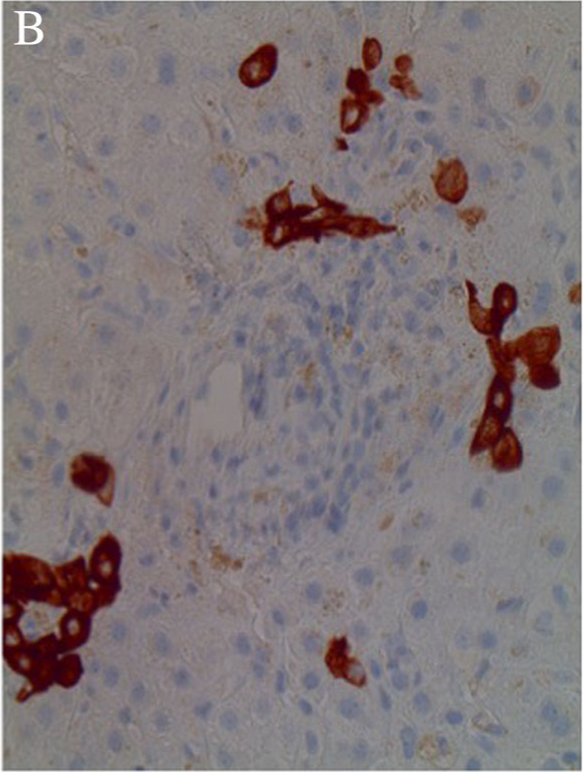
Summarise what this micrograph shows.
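Liver with an interlobular portal tract in the centre: a pale fibrous area with a small vessel and scattered spindle-shaped and small round nuclei. Around its margins, small groups, short branching cords and single cells of strongly brown-stained epithelial cells are seen, some arranged around tiny lumens, in a pattern of ductular reaction at the interface with the parenchyma. The surrounding hepatocytes are large polygonal cells with unstained cytoplasm and blue round nuclei, some showing faint brown granules. A well-formed central bile duct is not evident.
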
